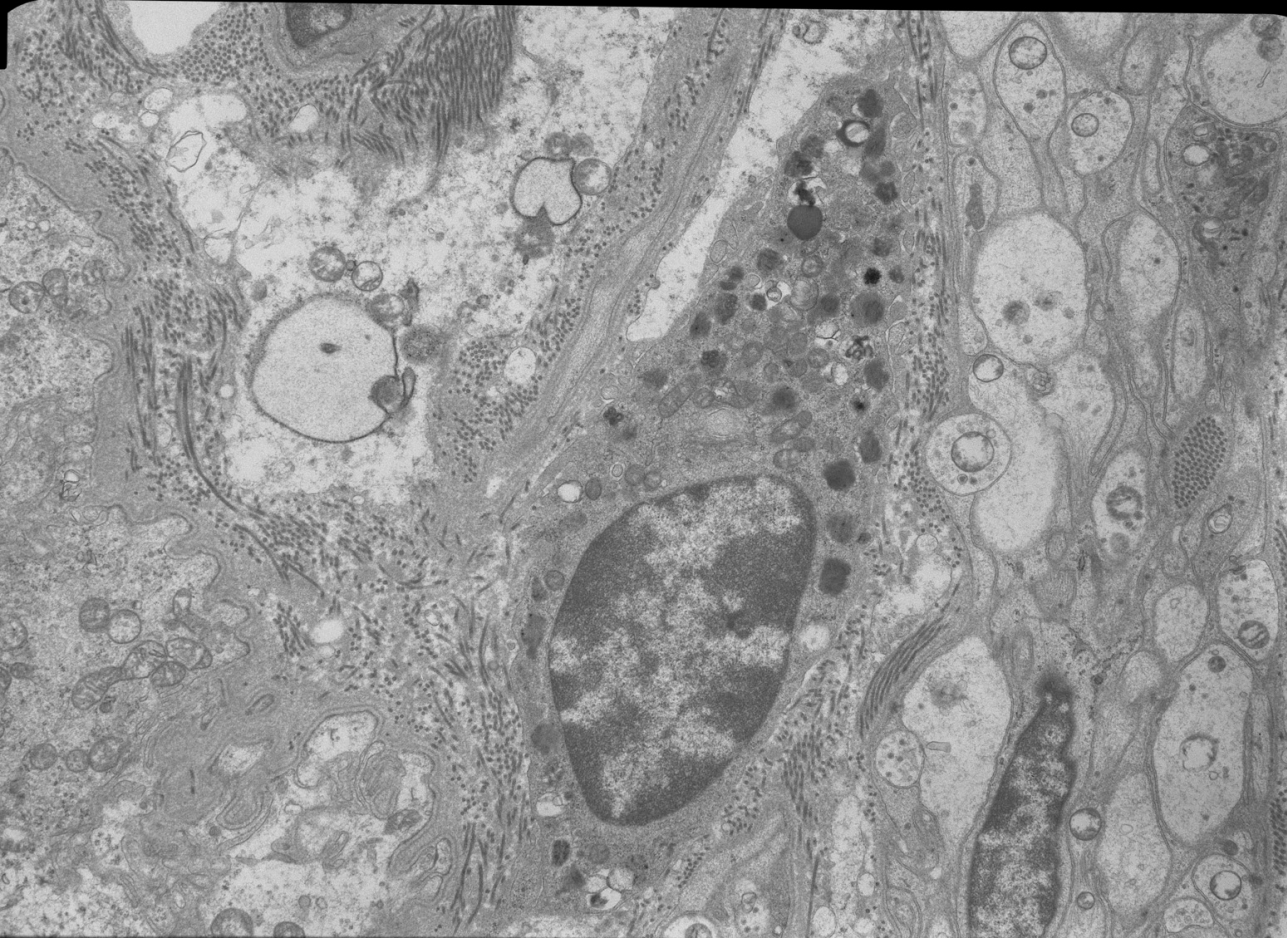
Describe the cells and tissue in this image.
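A mast cell lies at the centre of this transmission electron micrograph, with a large oval nucleus showing coarse clumps of dense heterochromatin along its envelope and in patches. The cytoplasm above and beside the nucleus holds many round membrane-bound granules of varying electron density; some are fully dense, others are mottled and paler, and some are largely empty, lucent chambers. The cell is surrounded by connective tissue with bundles of fine fibrils cut in cross and longitudinal section. To the right lie many rounded pale membrane-bound profiles and an elongated dark nucleus, while the left part of the field shows other cells with mitochondria and pale vacuolated cytoplasm.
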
